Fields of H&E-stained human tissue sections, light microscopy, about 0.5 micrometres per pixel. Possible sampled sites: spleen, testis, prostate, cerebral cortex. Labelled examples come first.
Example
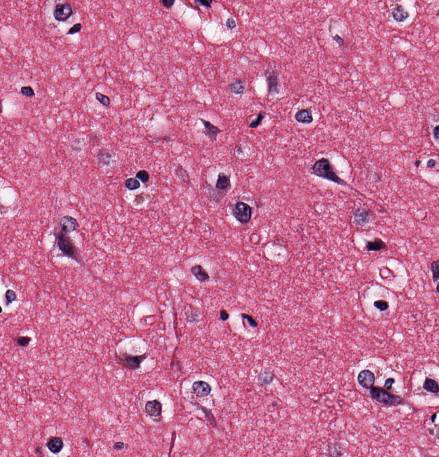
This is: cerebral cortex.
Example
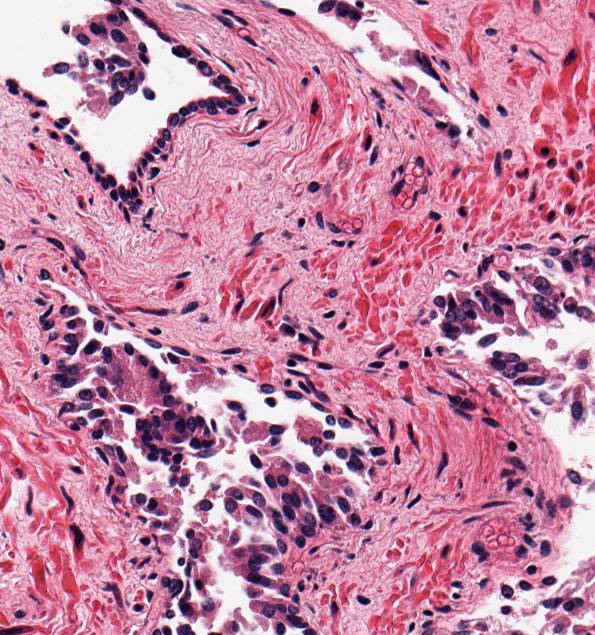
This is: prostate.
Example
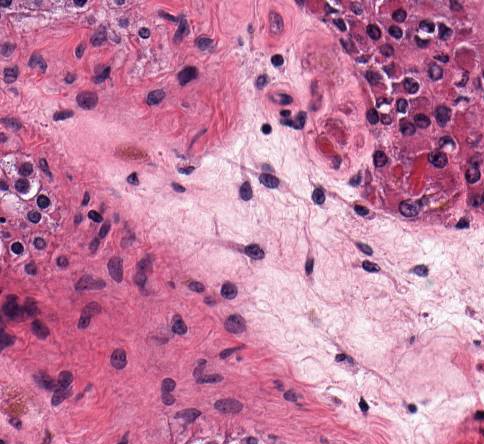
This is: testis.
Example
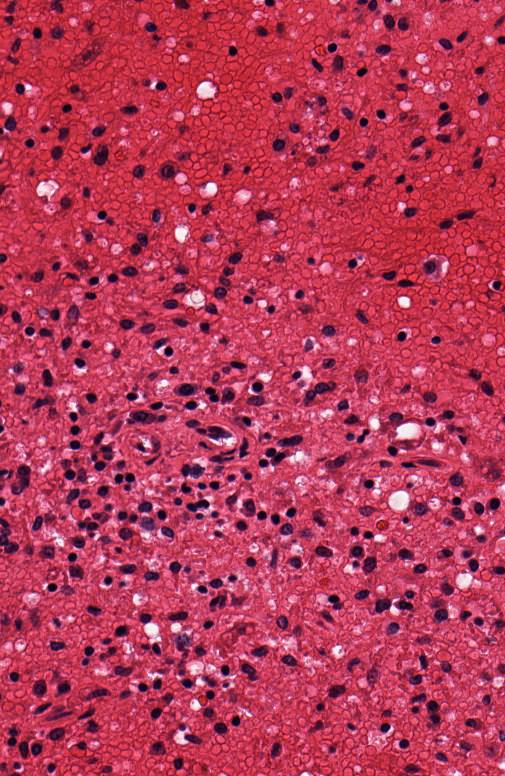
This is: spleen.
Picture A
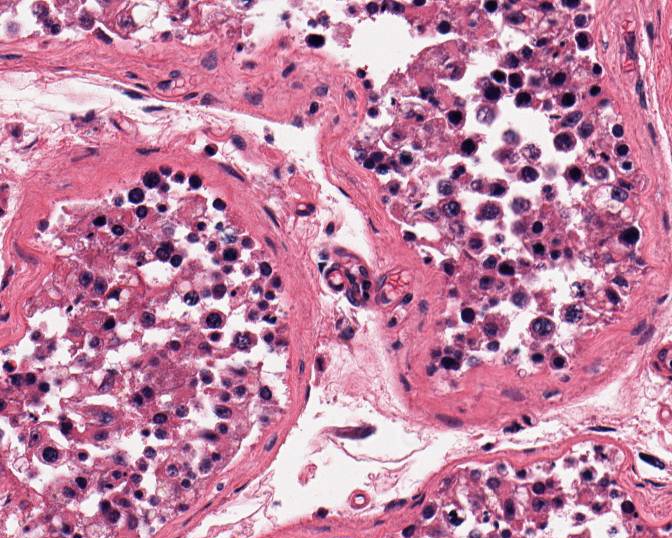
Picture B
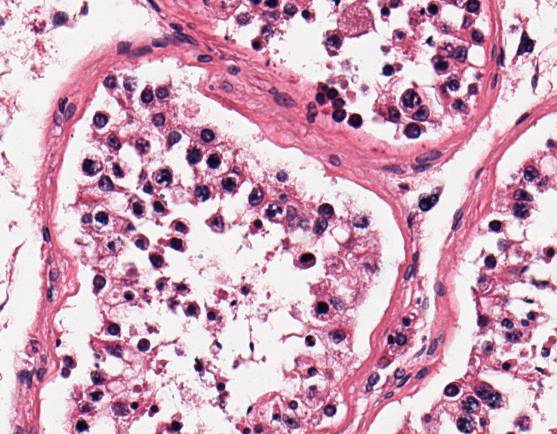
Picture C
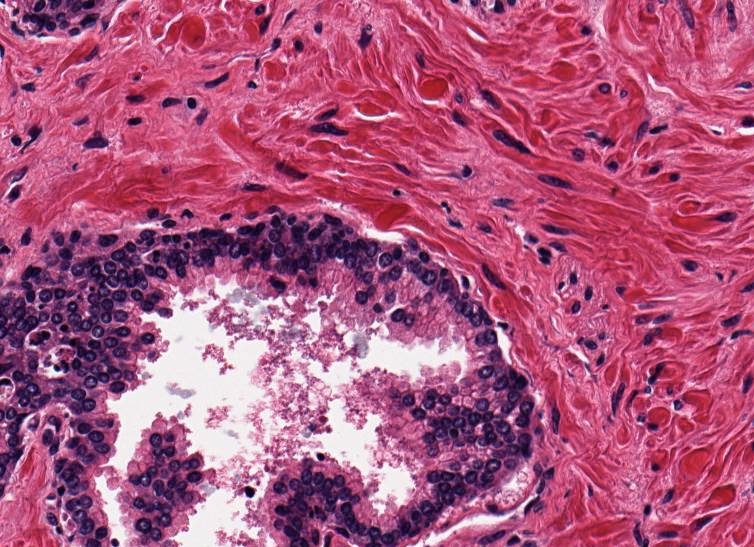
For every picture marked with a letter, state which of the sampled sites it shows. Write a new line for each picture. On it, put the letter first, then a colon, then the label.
A: testis.
B: testis.
C: prostate.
